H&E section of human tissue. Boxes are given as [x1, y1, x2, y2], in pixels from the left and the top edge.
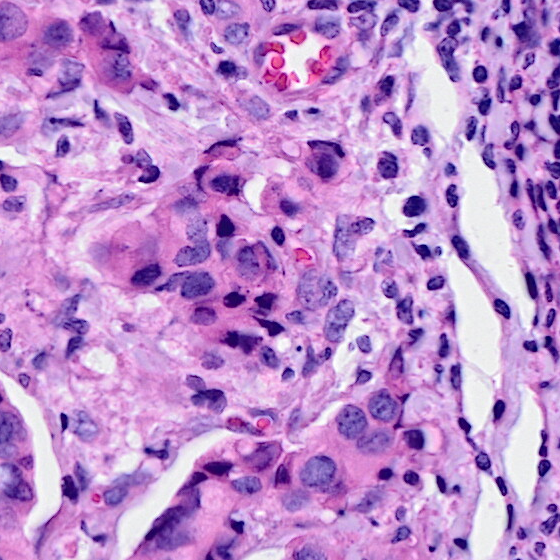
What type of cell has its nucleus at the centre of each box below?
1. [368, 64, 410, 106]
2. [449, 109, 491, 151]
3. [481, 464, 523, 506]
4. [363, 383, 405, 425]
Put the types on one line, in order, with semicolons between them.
lymphocyte; lymphocyte; lymphocyte; carcinoma cell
